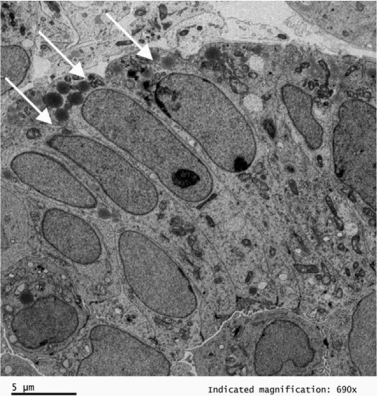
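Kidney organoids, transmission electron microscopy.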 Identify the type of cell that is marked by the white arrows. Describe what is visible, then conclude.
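Normal tubular cells. The arrows point to the cytoplasm of tightly packed cells with elongated oval nuclei. The cells are arranged side by side in an epithelial row. The cytoplasm is dense and holds many intact organelles and dark granules.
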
